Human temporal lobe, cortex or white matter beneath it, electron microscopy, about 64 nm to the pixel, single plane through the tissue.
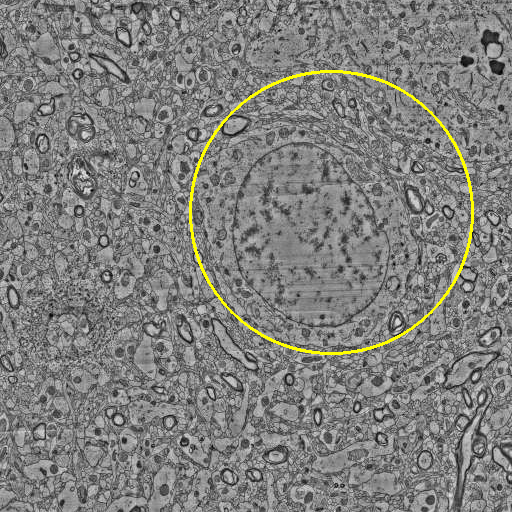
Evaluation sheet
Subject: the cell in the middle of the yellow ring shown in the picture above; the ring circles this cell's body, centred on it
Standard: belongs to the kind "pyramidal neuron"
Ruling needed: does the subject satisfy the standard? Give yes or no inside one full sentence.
Yes, the cell in the middle of the ring in the picture above belongs to the stated kind.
